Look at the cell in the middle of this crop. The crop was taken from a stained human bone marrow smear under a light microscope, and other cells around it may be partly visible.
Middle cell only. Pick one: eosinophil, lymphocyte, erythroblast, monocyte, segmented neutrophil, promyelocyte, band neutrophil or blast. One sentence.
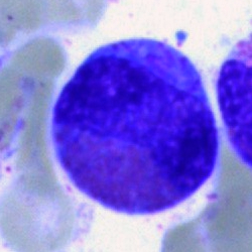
The centrally located cell in the crop is an eosinophil.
